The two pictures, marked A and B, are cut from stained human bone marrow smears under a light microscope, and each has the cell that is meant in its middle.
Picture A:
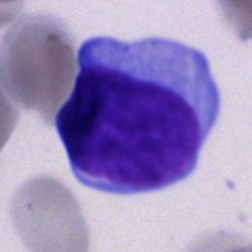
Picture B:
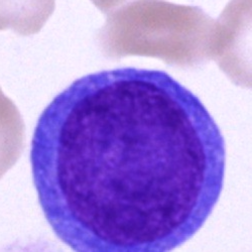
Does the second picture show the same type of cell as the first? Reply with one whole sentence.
Yes, they are the same type: both are blasts.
